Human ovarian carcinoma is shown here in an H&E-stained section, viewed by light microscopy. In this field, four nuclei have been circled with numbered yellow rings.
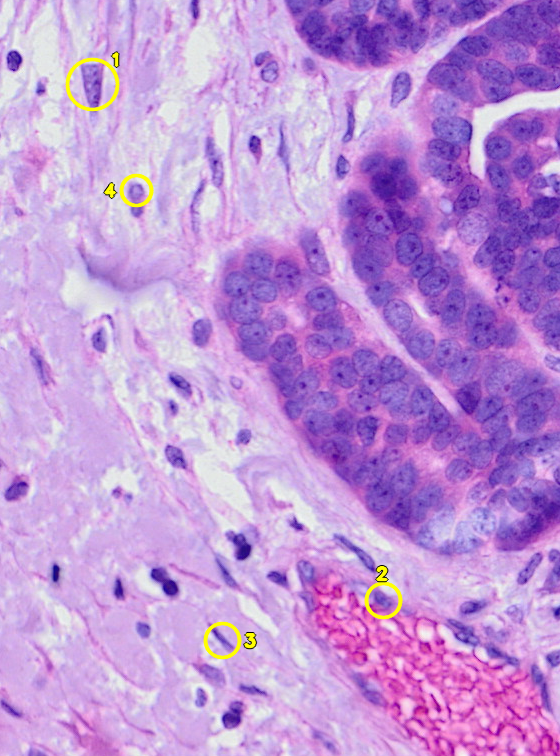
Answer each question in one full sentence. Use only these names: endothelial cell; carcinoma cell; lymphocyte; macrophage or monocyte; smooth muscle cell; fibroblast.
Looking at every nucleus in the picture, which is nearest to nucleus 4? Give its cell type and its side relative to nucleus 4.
The closest nucleus belongs to a macrophage or monocyte and sits below nucleus 4.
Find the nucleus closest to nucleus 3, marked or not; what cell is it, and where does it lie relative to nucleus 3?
A fibroblast lies closest, below nucleus 3.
